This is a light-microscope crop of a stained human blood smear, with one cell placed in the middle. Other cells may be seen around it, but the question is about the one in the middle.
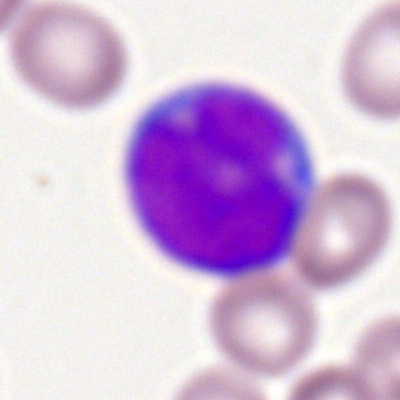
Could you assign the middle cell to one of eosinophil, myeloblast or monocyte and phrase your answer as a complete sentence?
The central cell, amid any neighbouring cells, is a myeloblast.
